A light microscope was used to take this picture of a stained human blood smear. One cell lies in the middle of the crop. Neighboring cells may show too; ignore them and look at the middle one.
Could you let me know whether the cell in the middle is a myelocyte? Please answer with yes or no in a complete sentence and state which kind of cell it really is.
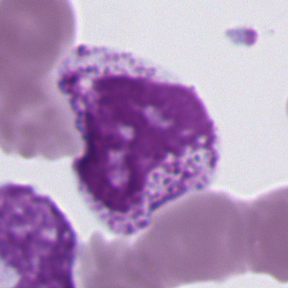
Yes, this central cell is a myelocyte.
